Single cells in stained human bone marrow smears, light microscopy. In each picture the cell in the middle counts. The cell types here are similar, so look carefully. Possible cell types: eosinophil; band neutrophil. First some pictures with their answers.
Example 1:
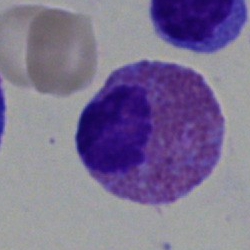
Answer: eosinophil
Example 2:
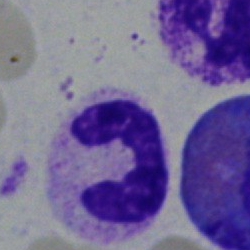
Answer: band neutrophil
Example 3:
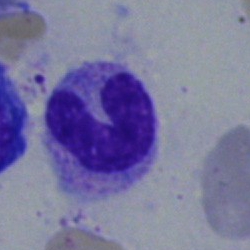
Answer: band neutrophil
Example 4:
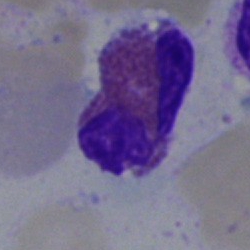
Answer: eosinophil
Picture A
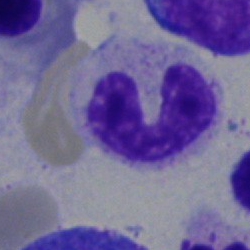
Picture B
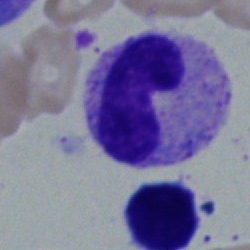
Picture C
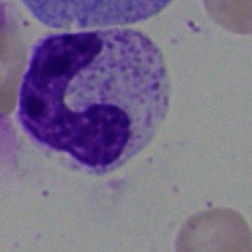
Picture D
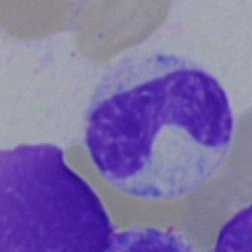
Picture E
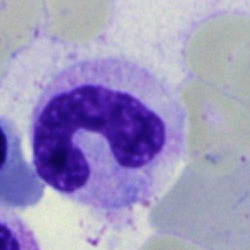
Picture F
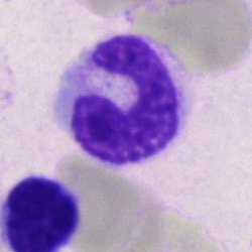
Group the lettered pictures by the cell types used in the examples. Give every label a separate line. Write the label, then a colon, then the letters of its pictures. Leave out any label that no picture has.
band neutrophil: A, B, C, D, E, F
